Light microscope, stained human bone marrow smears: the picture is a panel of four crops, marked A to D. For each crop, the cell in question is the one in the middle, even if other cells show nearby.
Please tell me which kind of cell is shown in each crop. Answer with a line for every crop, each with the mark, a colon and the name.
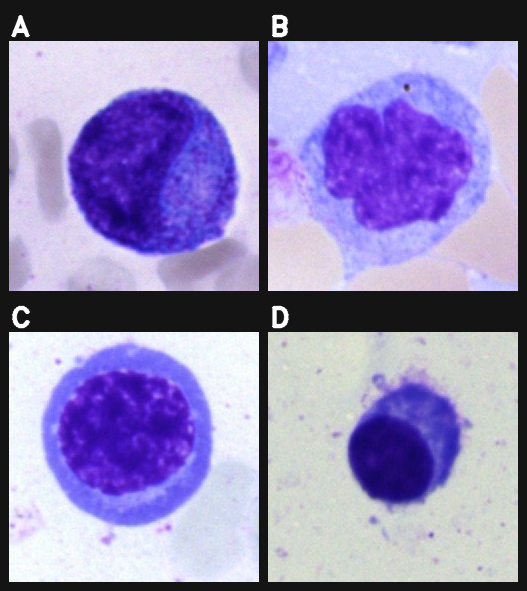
A: promyelocyte
B: monocyte
C: normoblast
D: plasma cell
